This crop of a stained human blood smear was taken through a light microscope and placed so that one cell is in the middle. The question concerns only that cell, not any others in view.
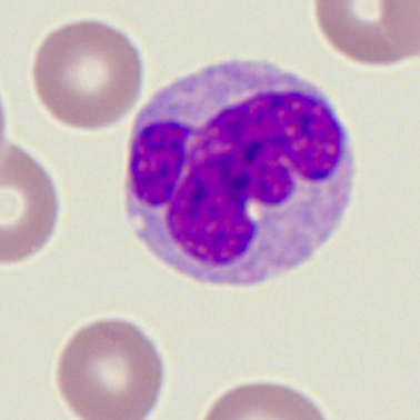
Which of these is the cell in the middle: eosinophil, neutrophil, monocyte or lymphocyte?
monocyte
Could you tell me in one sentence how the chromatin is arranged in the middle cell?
Take a look at the chromatin, which is coarsely clumped.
